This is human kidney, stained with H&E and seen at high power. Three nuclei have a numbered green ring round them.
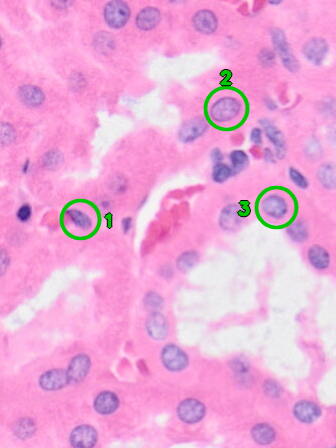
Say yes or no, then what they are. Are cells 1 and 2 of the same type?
No, cell 1 is interpreted as an endothelial cell, and cell 2 is interpreted as a proximal tubule cell.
